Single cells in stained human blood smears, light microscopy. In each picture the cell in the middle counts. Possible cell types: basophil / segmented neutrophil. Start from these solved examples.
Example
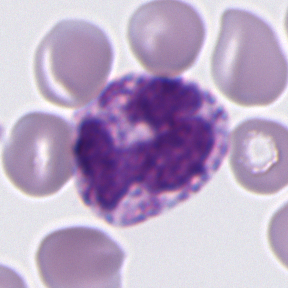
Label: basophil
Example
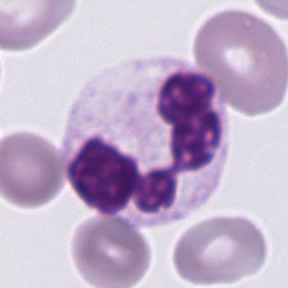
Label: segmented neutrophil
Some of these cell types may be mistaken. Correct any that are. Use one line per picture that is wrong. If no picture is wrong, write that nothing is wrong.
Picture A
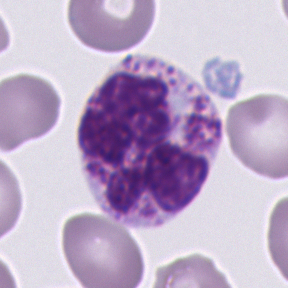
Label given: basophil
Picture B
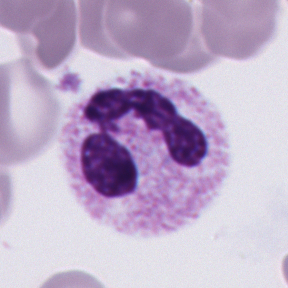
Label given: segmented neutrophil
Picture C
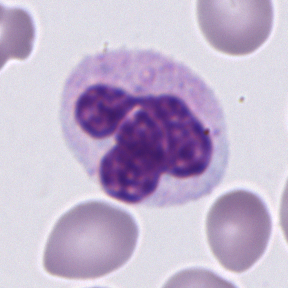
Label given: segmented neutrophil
Nothing to fix; every label fits.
